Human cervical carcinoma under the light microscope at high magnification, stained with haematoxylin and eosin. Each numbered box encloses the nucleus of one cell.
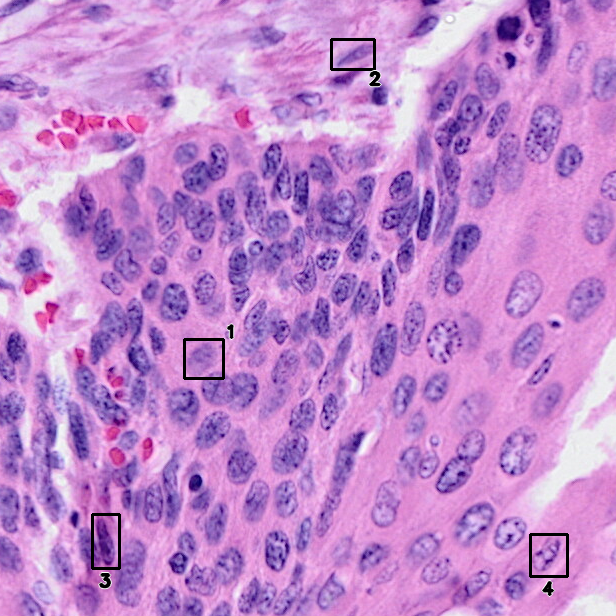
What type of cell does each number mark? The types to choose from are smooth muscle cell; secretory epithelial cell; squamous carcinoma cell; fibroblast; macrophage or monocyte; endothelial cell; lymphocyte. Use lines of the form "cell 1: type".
cell 1: squamous carcinoma cell
cell 2: fibroblast
cell 3: squamous carcinoma cell
cell 4: squamous carcinoma cell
